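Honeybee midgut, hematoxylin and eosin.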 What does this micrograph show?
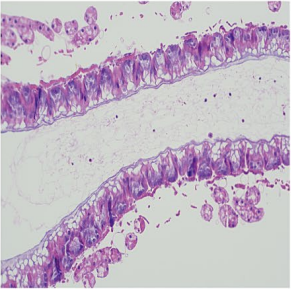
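The cells stand closely side by side like a palisade, their cytoplasm staining pink to purple and their nuclei dark purple. The lumen is filled with pale, finely granular material with scattered small dark dots. Outside the gut wall lie small rounded profiles of tubular structures cut in cross-section, stained pink with purple nuclei.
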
